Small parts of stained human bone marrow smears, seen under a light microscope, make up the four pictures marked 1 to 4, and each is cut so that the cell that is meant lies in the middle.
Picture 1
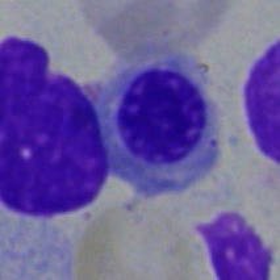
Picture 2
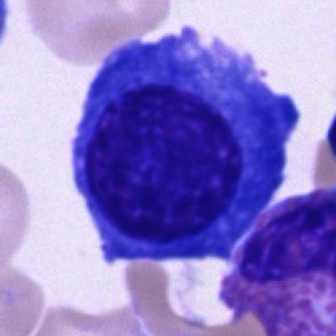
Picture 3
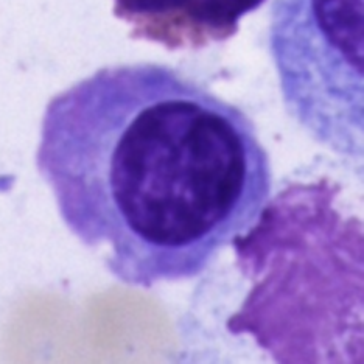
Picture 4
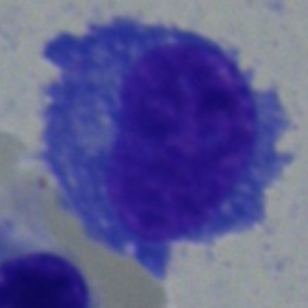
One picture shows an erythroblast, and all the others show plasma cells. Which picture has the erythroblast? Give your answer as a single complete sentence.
The picture with the erythroblast is 1.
